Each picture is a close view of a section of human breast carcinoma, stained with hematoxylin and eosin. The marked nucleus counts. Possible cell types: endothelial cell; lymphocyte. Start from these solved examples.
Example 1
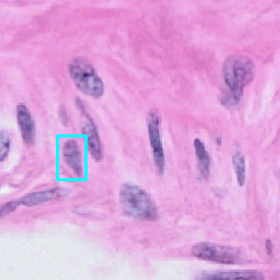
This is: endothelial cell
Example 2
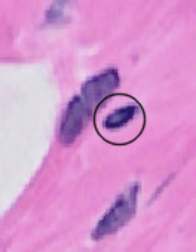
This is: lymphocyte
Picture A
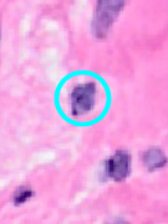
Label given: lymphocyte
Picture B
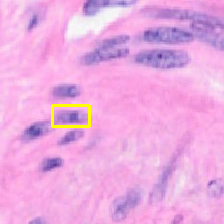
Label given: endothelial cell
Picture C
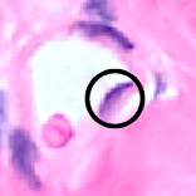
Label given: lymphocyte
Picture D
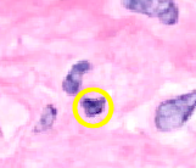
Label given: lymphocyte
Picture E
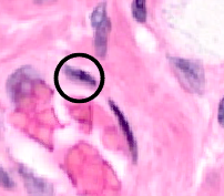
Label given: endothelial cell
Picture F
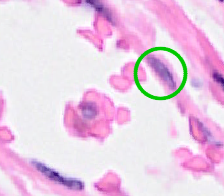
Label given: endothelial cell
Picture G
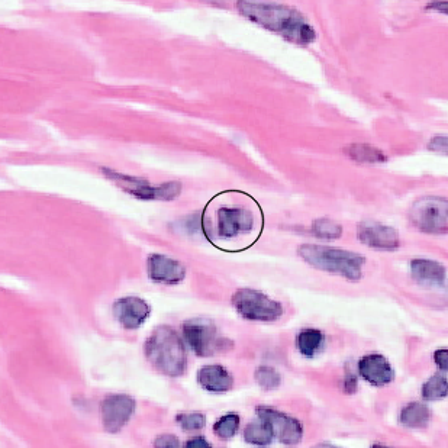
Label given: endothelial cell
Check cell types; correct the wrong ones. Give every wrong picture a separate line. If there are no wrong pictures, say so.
C: endothelial cell, not lymphocyte
G: lymphocyte, not endothelial cell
